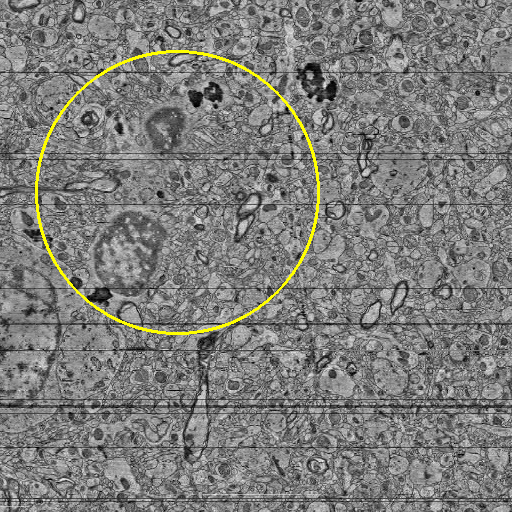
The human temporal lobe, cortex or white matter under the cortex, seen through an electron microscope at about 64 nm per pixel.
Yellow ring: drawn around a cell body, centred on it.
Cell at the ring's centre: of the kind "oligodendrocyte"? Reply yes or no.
yes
